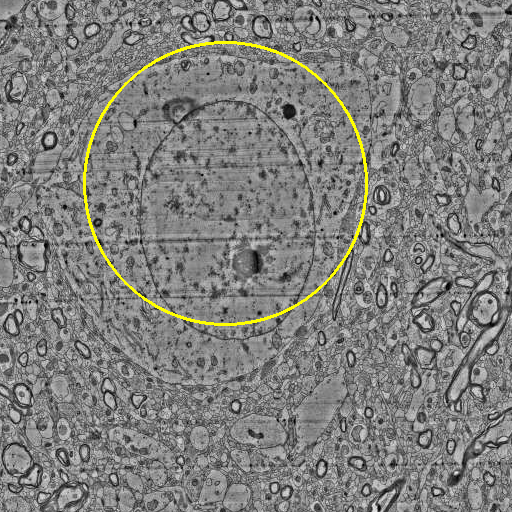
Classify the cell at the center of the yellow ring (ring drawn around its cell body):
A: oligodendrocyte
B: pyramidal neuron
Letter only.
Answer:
B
